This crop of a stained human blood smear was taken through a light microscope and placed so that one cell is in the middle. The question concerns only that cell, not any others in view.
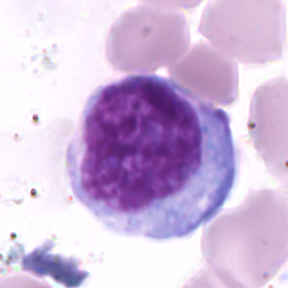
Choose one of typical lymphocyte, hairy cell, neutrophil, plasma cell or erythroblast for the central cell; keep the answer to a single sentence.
For this crop, the central cell is a plasma cell.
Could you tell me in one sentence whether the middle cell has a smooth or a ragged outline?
Smooth outline, no projections: that is the whole story of its edge.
